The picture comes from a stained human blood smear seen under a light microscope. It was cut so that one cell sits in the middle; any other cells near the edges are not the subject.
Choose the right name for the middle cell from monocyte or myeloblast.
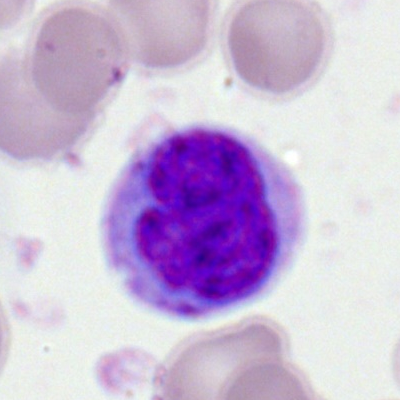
monocyte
